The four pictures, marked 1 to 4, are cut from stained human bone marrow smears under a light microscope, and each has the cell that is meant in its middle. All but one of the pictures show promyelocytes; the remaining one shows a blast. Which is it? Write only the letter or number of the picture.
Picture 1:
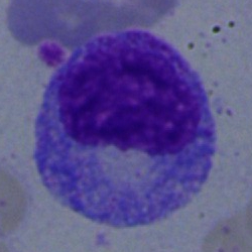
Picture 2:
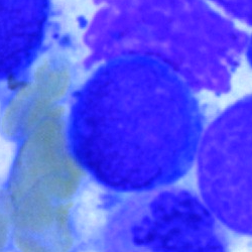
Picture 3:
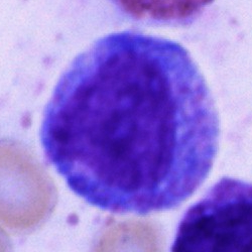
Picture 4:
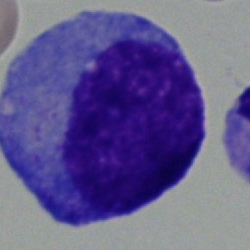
2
